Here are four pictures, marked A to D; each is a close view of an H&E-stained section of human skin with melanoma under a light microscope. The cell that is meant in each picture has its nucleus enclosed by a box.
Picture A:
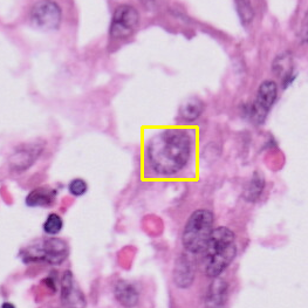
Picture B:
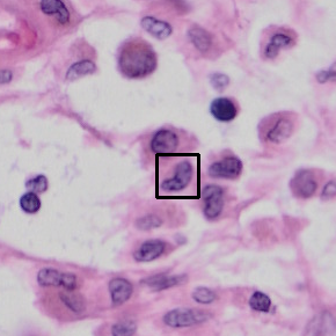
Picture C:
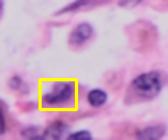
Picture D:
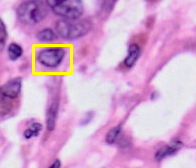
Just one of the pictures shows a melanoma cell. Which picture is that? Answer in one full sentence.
It is picture A that shows the melanoma cell.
